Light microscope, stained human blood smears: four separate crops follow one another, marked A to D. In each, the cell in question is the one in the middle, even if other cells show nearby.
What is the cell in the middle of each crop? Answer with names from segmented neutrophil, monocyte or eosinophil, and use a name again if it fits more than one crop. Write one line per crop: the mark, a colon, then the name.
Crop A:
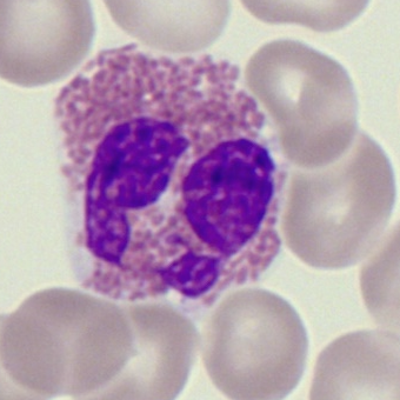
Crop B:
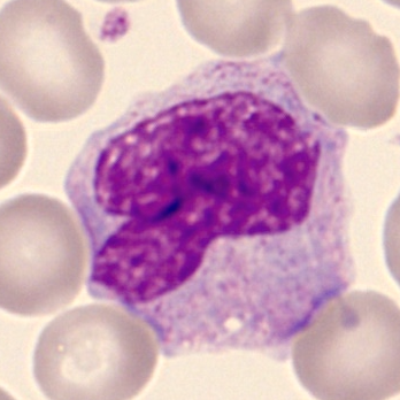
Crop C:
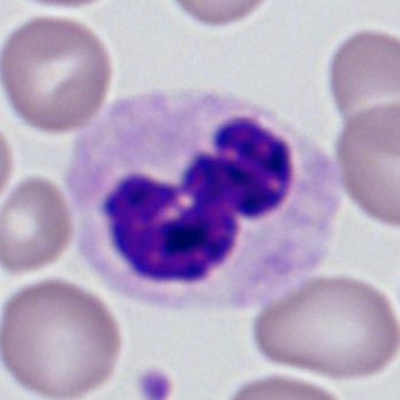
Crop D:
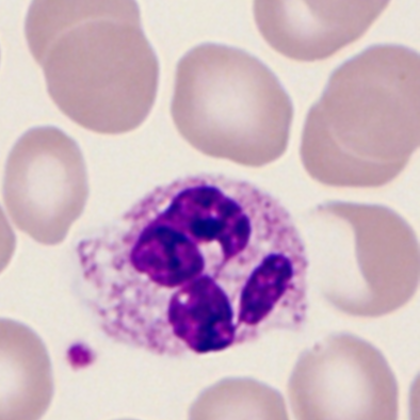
A: eosinophil
B: monocyte
C: segmented neutrophil
D: segmented neutrophil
